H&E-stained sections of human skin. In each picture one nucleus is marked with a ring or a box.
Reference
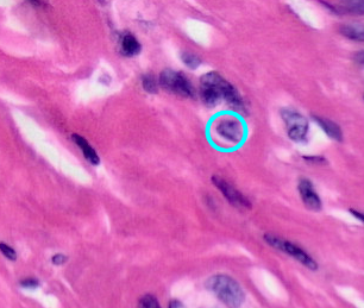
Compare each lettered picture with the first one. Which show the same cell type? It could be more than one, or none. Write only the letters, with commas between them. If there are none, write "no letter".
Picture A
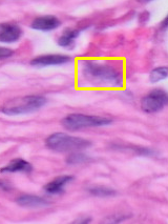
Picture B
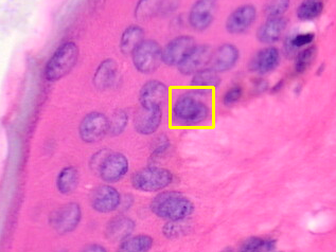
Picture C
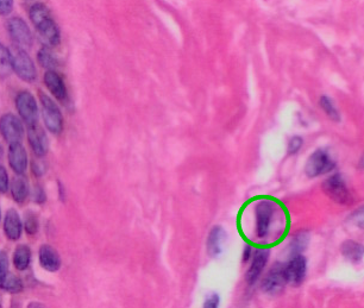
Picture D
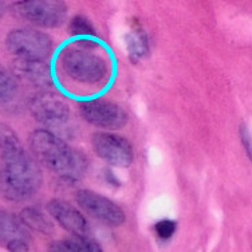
A, C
